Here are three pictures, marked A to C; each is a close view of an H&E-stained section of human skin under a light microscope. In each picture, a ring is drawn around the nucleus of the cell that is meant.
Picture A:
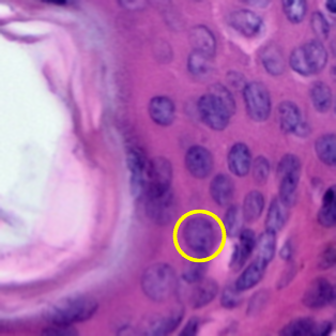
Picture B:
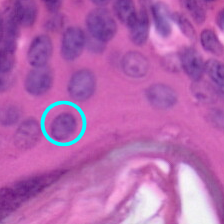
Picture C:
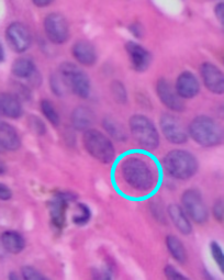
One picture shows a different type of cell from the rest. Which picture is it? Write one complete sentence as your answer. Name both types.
Unlike the rest, which show suprabasal keratinocytes, picture C shows a basal keratinocyte.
